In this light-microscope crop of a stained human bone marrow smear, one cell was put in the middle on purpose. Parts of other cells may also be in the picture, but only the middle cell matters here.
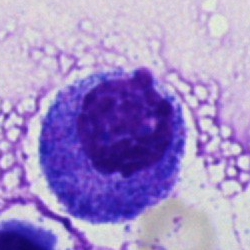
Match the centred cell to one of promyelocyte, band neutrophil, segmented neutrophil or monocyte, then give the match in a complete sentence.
Standing at the centre of this crop is a promyelocyte.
